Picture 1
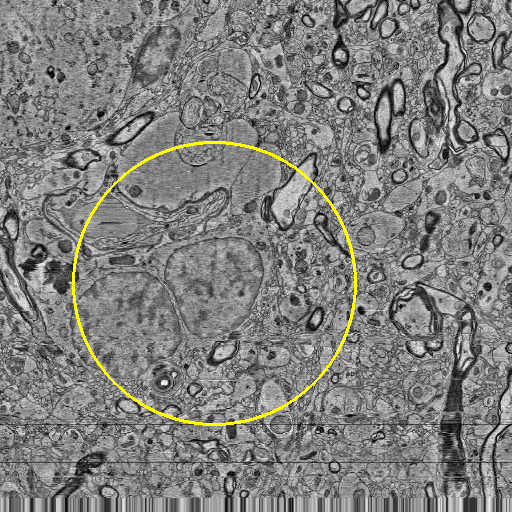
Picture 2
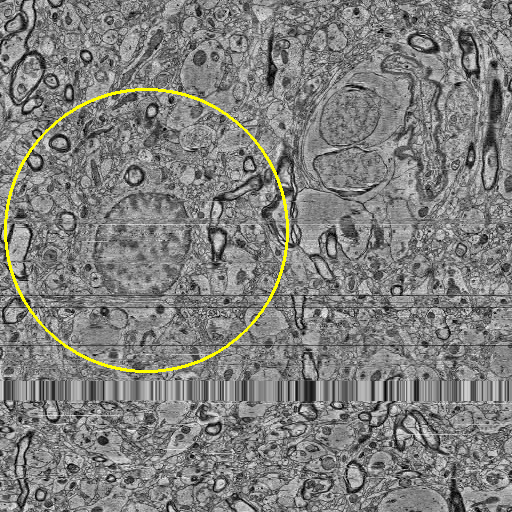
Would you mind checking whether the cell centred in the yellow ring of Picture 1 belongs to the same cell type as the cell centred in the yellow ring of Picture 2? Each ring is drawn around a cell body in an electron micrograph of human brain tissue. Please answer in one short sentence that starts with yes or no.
Yes, both cells are of the same type.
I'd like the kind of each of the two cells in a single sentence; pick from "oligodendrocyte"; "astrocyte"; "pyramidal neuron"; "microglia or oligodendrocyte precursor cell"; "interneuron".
Each of the ringed cells, first and second, is an oligodendrocyte.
